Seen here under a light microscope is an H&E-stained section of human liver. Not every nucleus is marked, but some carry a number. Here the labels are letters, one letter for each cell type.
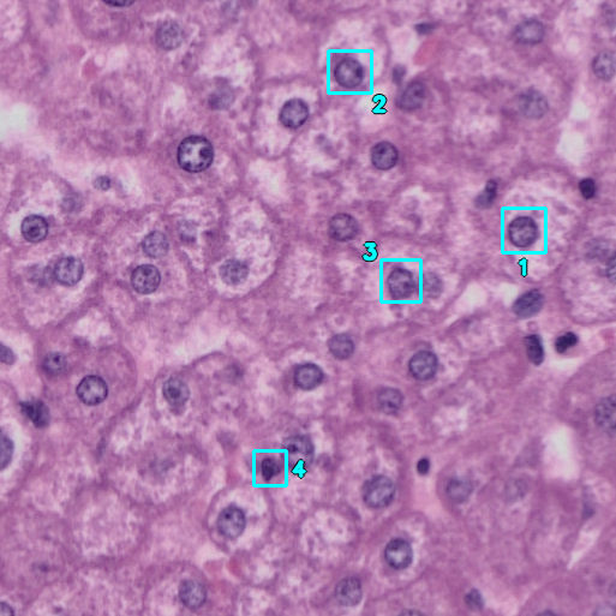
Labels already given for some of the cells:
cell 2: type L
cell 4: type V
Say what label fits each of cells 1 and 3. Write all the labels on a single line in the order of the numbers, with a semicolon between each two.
type L; type L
